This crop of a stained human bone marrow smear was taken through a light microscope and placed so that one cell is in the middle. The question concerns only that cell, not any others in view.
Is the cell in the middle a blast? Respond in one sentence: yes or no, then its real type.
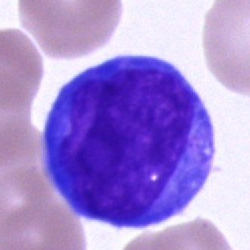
Yes, it is a blast that lies in the middle.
